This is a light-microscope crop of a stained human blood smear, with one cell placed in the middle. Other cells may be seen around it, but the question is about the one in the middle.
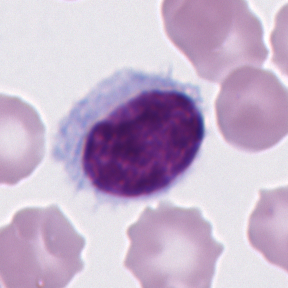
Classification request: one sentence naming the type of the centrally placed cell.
The middle cell in this particular crop is a hairy cell.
